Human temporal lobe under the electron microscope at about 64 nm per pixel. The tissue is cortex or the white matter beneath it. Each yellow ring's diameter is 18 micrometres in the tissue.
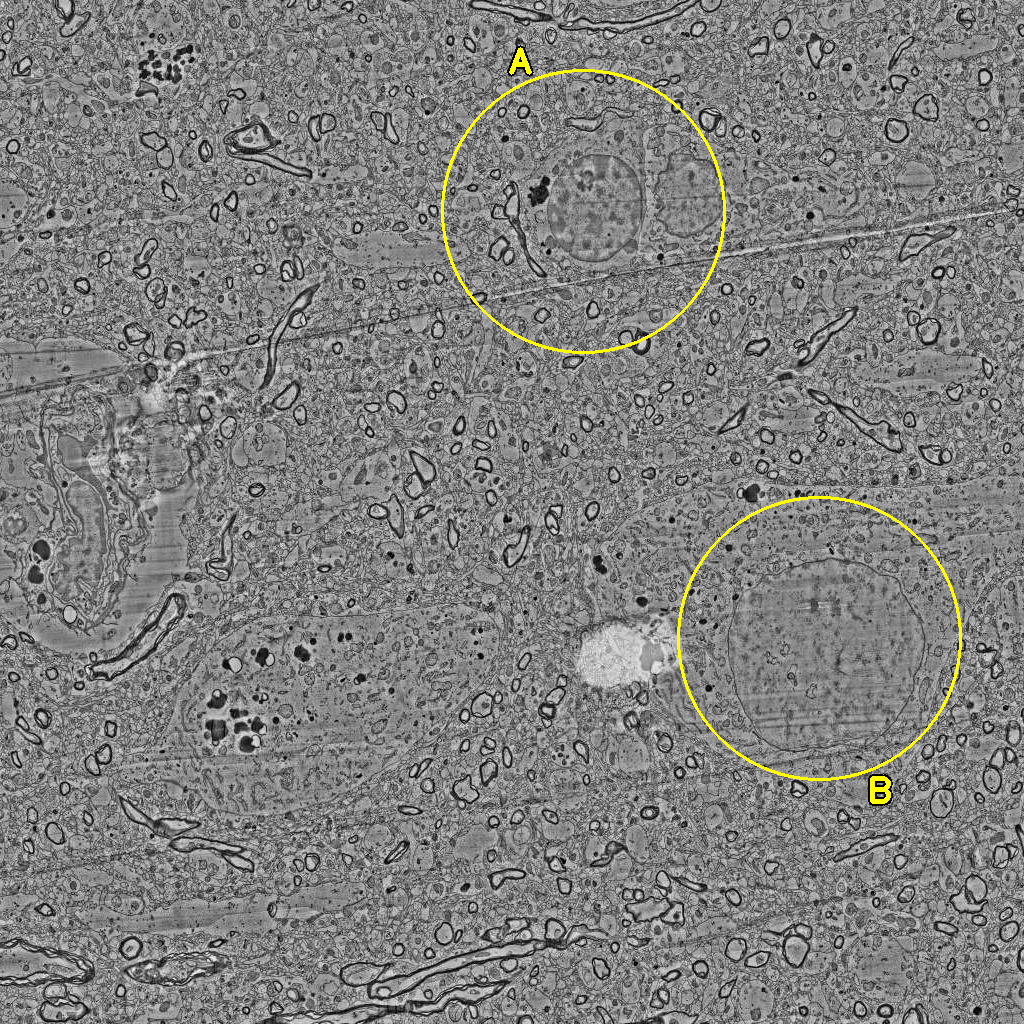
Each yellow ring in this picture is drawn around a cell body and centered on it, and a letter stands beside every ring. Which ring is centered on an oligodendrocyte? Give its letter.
A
